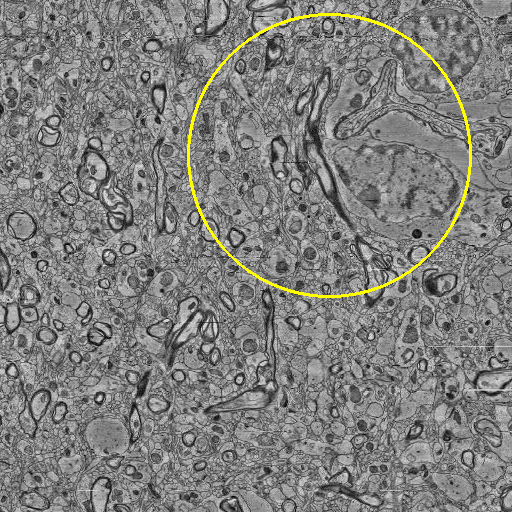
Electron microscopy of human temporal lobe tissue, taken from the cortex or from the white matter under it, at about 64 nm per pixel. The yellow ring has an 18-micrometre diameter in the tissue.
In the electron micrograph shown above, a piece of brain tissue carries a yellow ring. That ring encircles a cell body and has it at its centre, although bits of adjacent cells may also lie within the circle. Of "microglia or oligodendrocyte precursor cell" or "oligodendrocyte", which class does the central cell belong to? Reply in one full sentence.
The cell body at the centre of the yellow ring belongs to a microglial cell or oligodendrocyte precursor cell.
